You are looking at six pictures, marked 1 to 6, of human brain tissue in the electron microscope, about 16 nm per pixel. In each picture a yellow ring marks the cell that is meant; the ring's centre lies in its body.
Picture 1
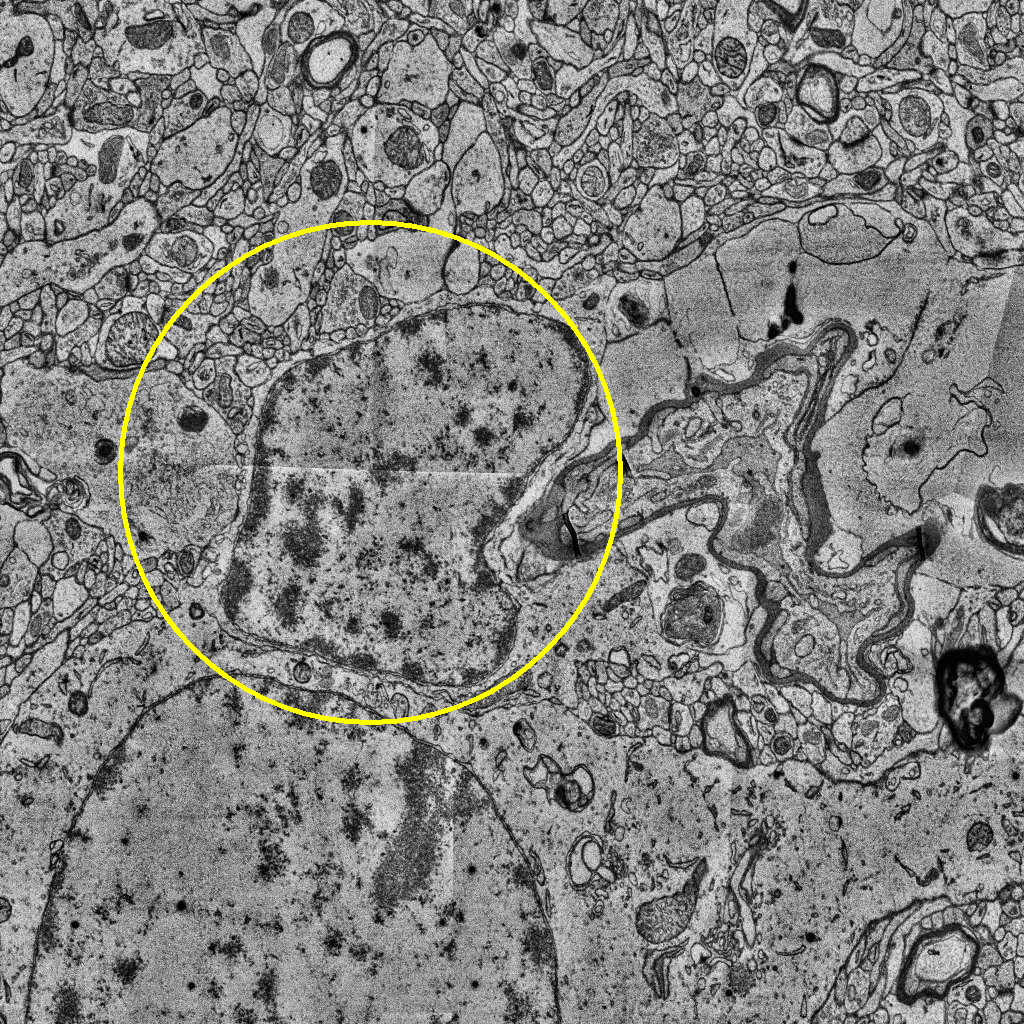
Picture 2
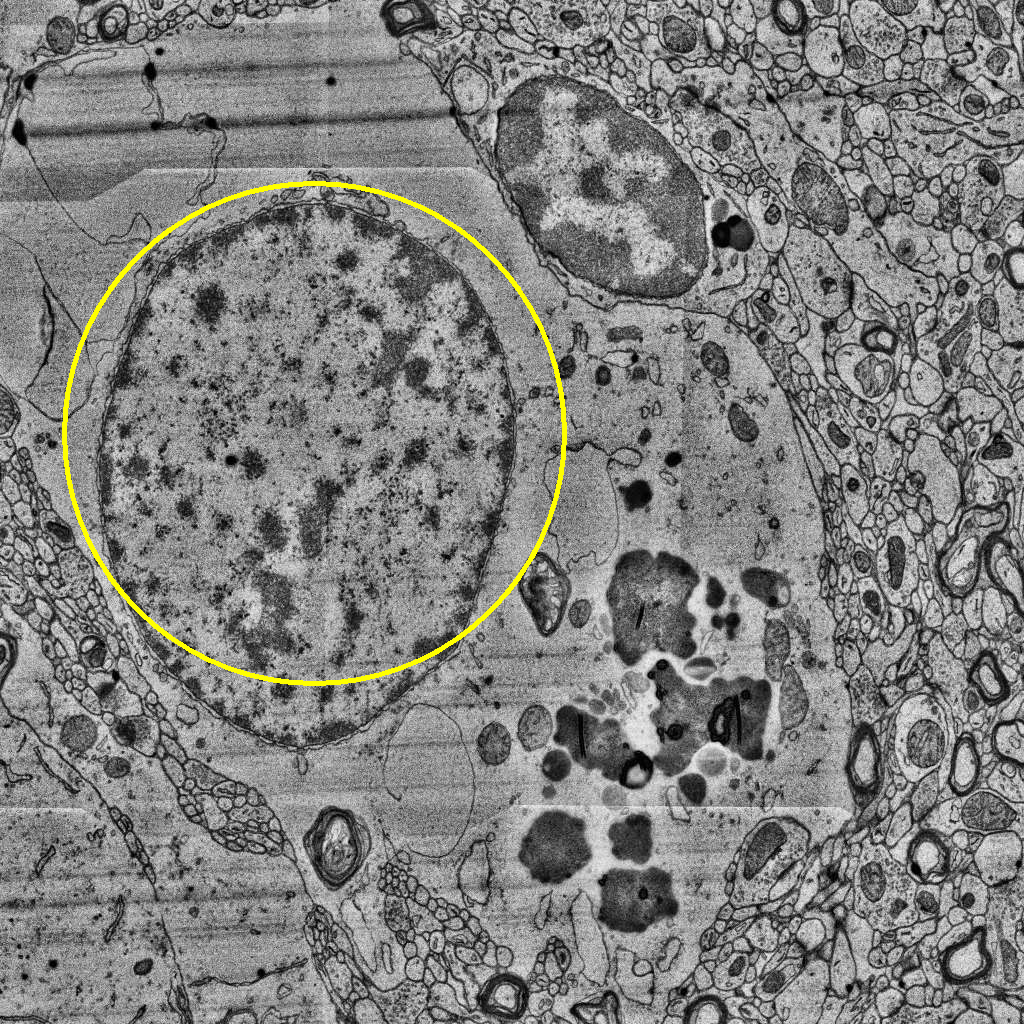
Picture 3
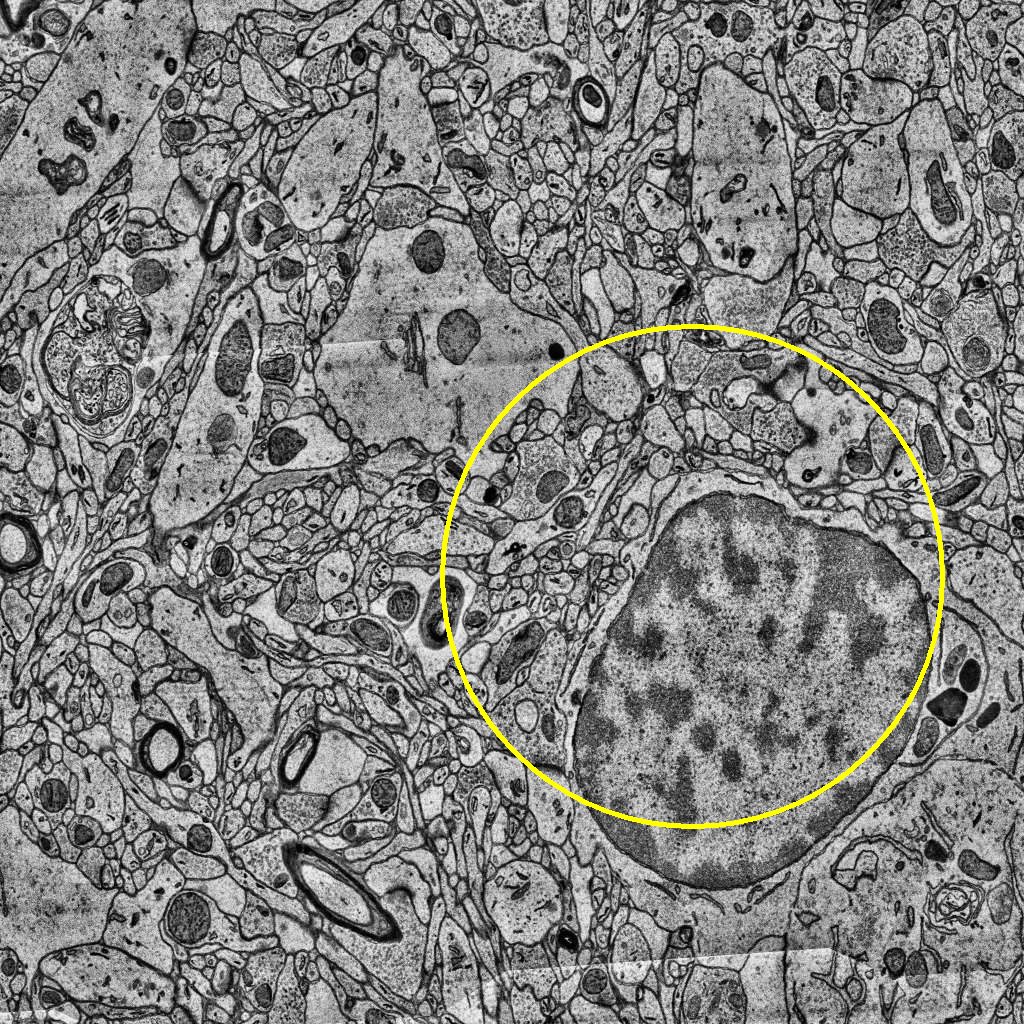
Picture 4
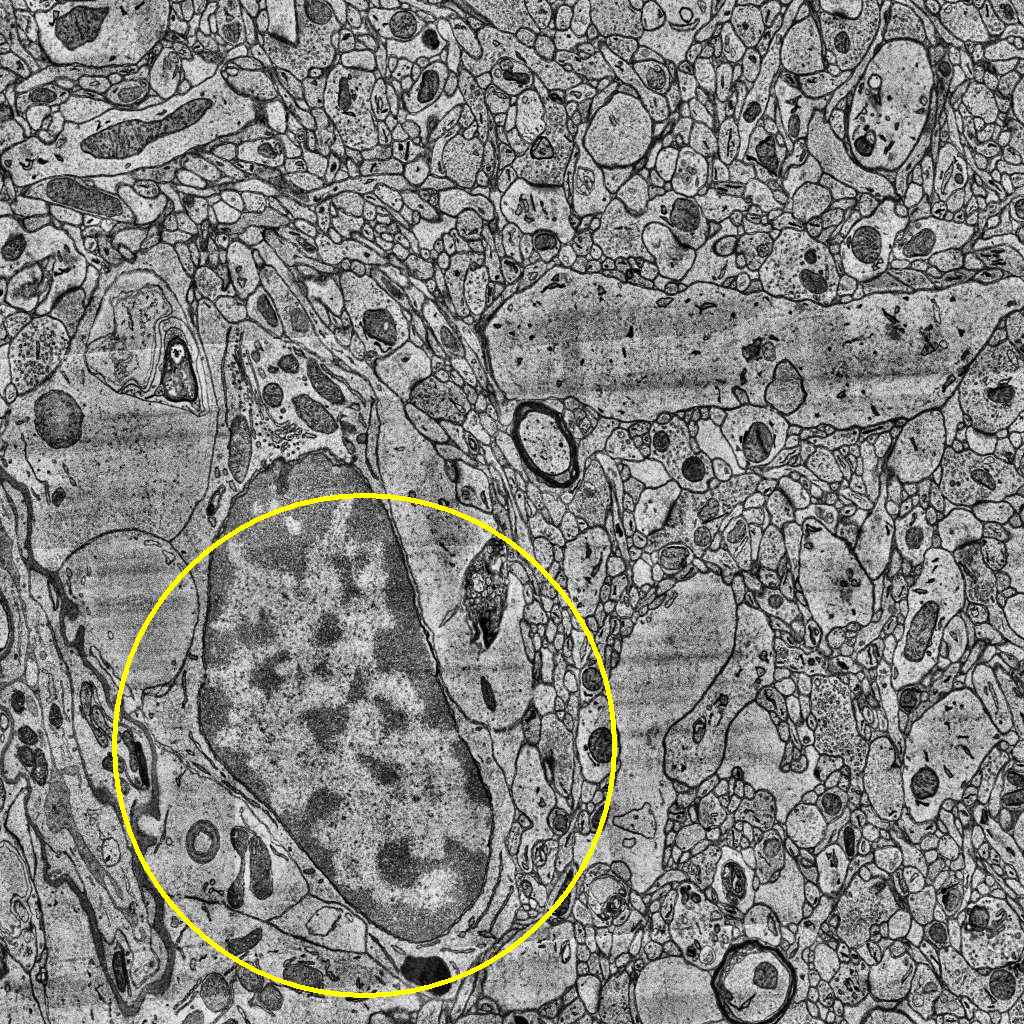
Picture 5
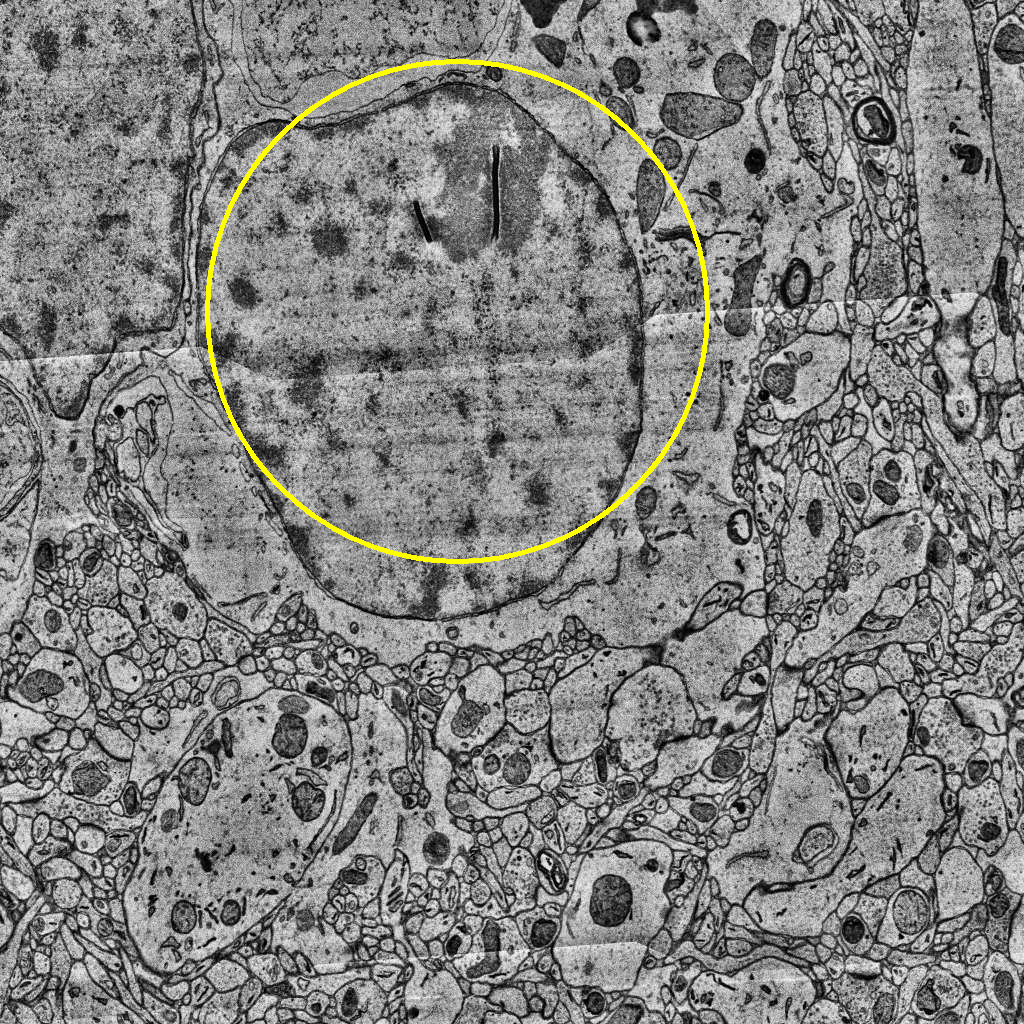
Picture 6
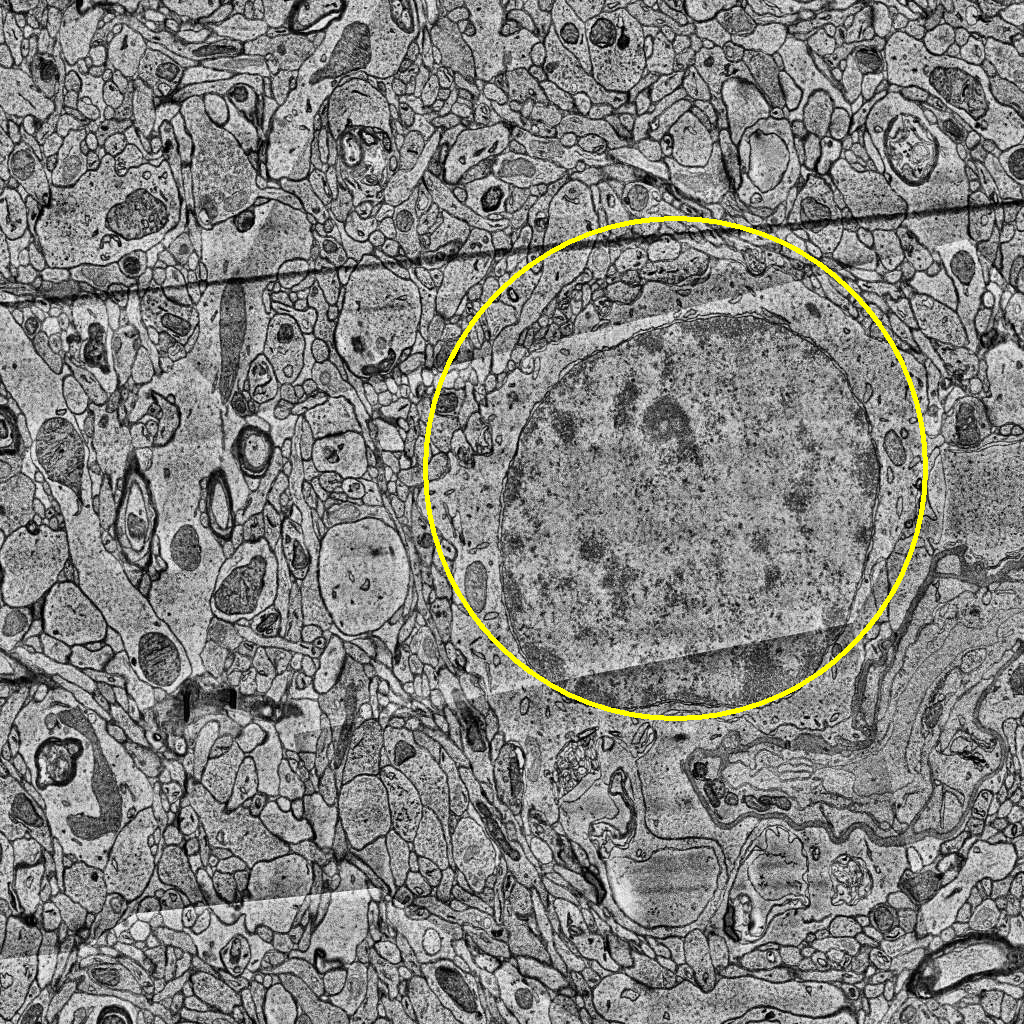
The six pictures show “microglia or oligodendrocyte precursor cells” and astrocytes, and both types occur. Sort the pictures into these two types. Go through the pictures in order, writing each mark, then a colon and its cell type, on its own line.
1: microglia or oligodendrocyte precursor cell
2: astrocyte
3: microglia or oligodendrocyte precursor cell
4: microglia or oligodendrocyte precursor cell
5: astrocyte
6: microglia or oligodendrocyte precursor cell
